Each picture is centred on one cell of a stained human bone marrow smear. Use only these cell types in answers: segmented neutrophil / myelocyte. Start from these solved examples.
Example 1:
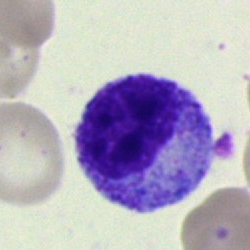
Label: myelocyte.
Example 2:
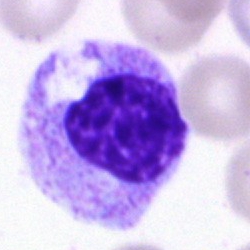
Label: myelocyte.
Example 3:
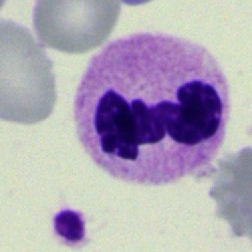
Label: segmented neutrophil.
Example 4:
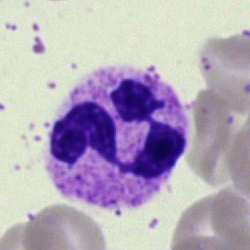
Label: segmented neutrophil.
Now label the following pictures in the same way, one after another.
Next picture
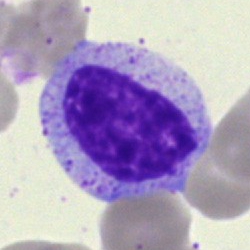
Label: myelocyte.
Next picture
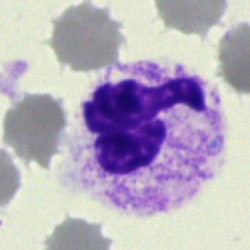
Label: segmented neutrophil.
